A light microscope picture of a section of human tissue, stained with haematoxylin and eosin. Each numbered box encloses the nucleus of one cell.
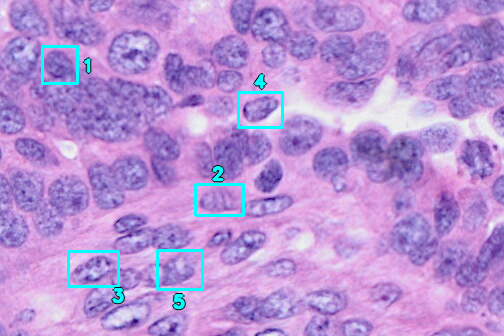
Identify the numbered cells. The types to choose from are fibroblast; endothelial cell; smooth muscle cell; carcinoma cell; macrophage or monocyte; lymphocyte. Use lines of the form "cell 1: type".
cell 1: carcinoma cell
cell 2: fibroblast
cell 3: fibroblast
cell 4: macrophage or monocyte
cell 5: fibroblast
